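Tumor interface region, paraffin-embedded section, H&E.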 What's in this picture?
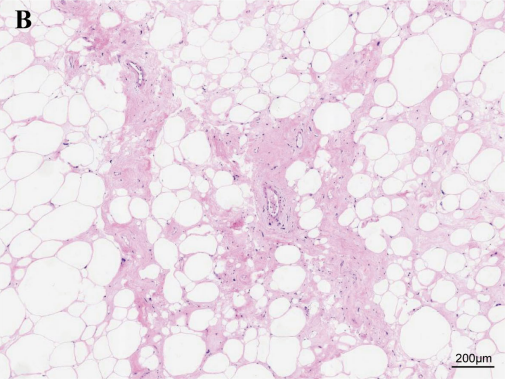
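Clear, rounded to polygonal fat vacuoles of varying size are separated by irregular, fairly broad septa of pale pink fibrous stroma. Within these septa lie numerous small, dark-purple nuclei, scattered singly and in loose groups, with more of them near the small blood vessels whose walls appear as ring-shaped pink structures with purple nuclei. Some vacuoles are much smaller than others and lie crowded within the stroma, while larger vacuoles fill the edges of the field.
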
